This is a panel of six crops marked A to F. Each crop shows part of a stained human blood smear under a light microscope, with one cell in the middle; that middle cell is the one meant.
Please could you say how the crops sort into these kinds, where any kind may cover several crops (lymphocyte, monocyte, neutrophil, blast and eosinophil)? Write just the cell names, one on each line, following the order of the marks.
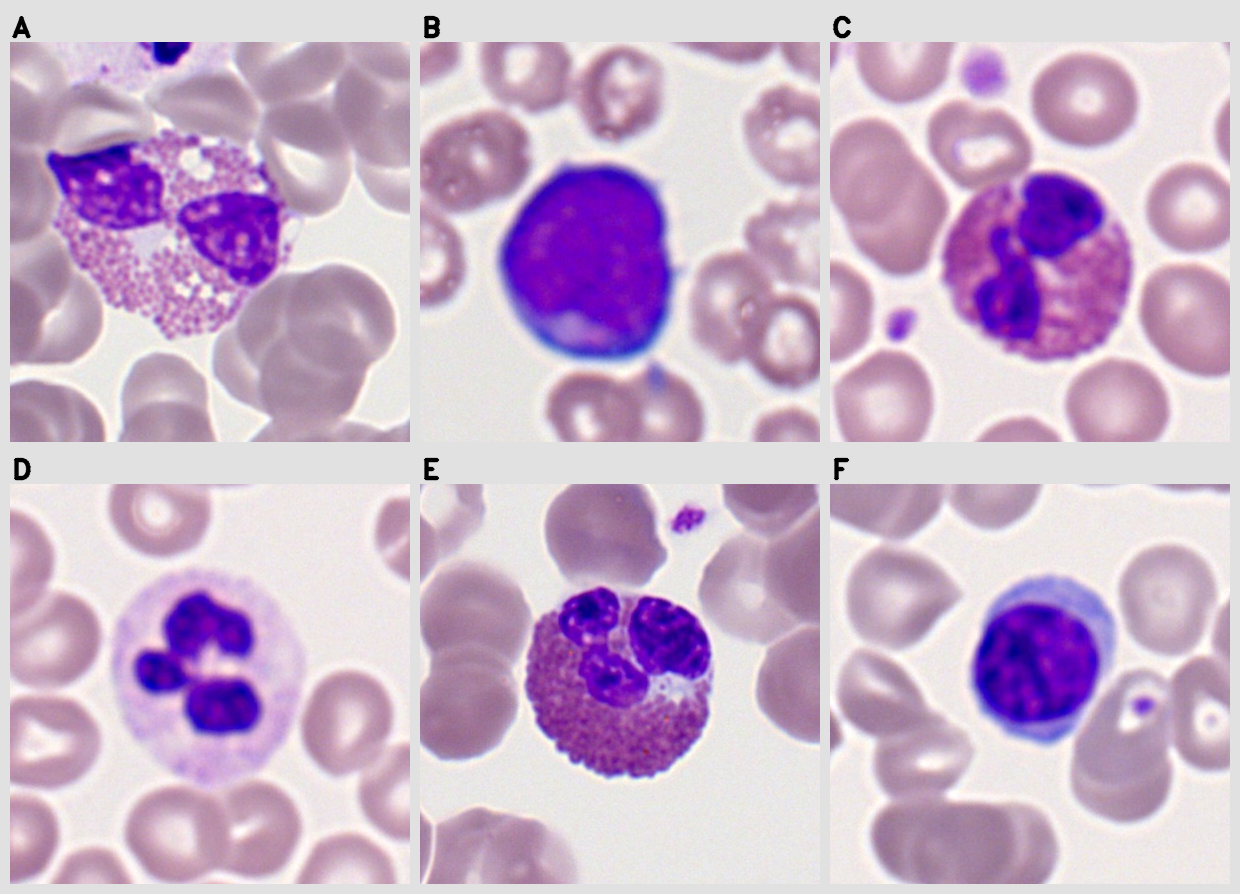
eosinophil
blast
eosinophil
neutrophil
eosinophil
lymphocyte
